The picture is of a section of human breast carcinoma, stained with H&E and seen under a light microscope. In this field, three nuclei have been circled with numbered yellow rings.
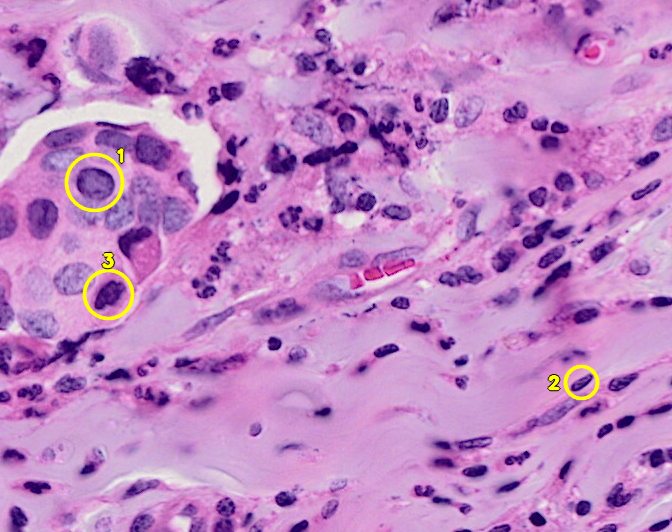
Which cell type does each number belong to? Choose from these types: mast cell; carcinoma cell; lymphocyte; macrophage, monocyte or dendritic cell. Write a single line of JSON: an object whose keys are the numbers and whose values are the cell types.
{"1": "carcinoma cell", "2": "lymphocyte", "3": "carcinoma cell"}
